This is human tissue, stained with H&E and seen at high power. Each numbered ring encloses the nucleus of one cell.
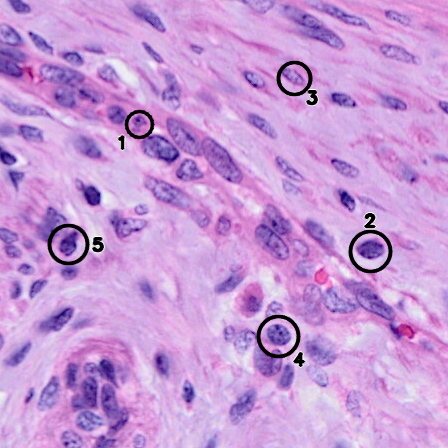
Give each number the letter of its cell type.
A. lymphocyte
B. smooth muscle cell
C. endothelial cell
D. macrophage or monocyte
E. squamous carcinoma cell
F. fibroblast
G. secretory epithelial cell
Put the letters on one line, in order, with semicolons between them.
C; A; B; A; A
